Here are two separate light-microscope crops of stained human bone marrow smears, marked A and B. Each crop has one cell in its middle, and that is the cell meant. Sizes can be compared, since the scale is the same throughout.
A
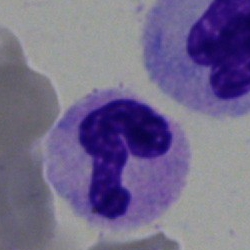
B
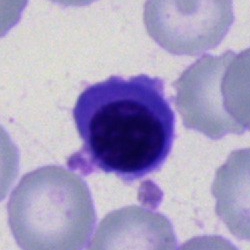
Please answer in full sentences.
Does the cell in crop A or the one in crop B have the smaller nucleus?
The nucleus in crop B is smaller; the one in crop A has about 1.5 times its area.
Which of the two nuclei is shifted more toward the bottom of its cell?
The nucleus in crop B lies further toward the bottom of its cell.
